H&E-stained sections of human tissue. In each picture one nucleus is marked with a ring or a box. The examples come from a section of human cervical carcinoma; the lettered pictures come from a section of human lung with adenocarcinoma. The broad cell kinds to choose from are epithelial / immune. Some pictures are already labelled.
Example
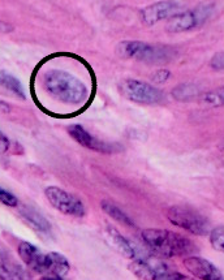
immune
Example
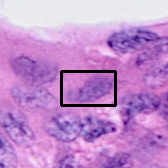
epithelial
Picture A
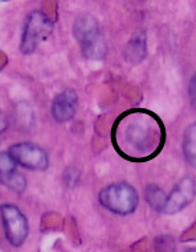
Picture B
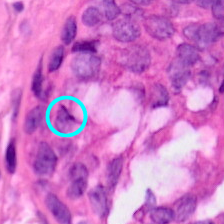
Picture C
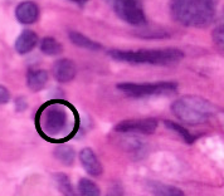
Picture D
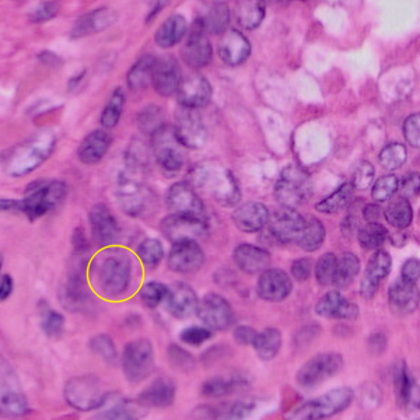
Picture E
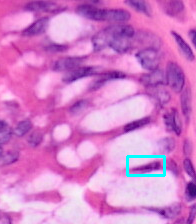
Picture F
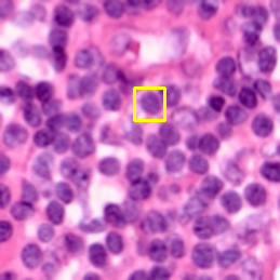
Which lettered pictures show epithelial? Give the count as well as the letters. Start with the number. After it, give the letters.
Count: 3 (B, D, E)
